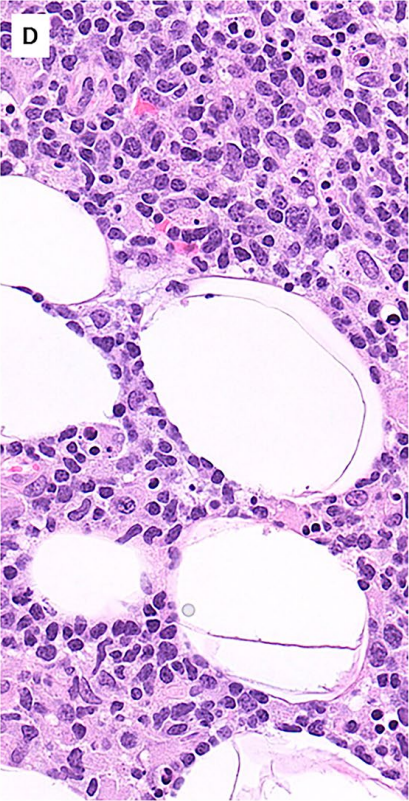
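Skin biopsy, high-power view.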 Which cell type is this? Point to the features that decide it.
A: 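Medium to large cells with irregular dark nuclei. The cells line up around the edges of large clear fat spaces.
Answer: medium to large atypical lymphoid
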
